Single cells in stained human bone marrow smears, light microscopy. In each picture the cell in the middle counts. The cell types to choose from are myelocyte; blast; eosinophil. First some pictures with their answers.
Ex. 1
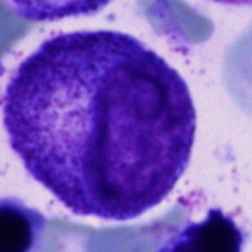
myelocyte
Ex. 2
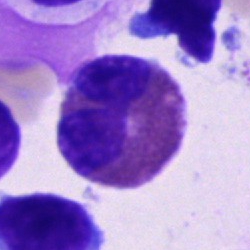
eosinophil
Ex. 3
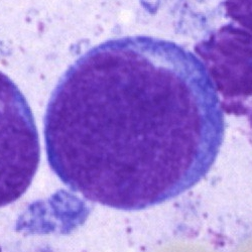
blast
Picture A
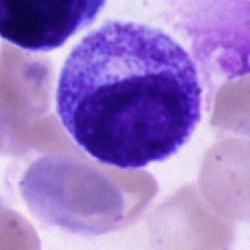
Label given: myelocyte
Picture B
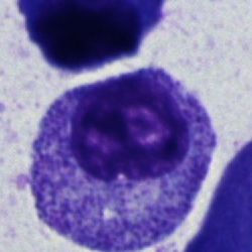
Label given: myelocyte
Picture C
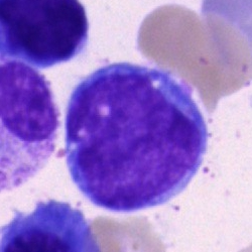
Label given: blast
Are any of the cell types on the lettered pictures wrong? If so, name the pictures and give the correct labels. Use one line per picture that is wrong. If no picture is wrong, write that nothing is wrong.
All correct.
